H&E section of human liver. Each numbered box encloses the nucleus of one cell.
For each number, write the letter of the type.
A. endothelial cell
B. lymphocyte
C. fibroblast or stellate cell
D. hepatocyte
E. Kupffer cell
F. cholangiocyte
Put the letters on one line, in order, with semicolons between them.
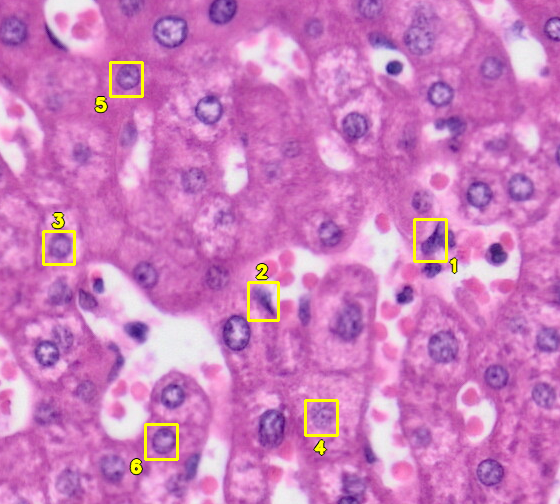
C; A; D; D; D; D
